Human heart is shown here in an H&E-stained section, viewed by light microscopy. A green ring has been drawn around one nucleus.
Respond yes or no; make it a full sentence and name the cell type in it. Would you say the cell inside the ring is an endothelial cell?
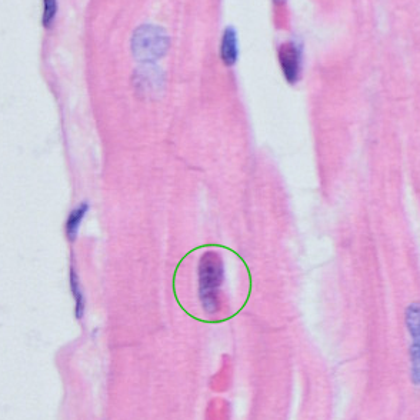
Yes, put very simply, the cell inside the ring is an endothelial cell.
